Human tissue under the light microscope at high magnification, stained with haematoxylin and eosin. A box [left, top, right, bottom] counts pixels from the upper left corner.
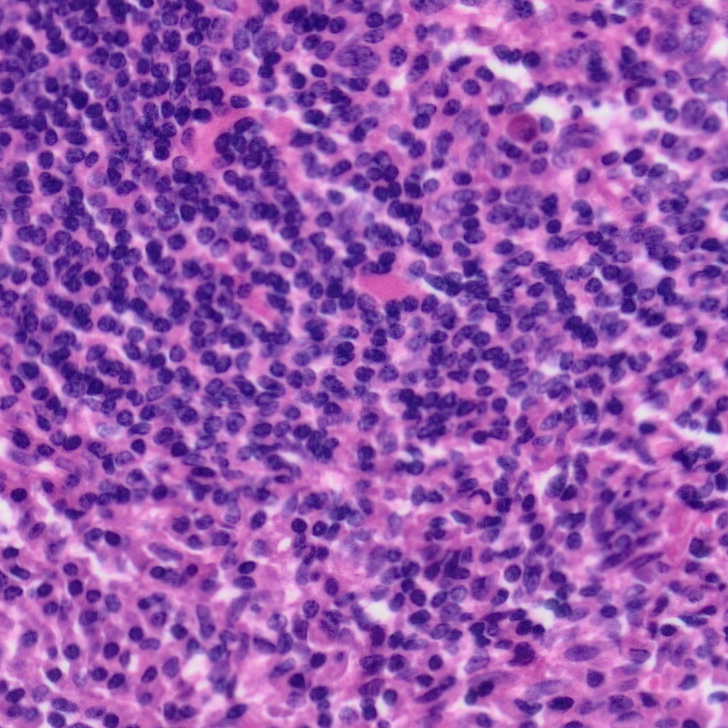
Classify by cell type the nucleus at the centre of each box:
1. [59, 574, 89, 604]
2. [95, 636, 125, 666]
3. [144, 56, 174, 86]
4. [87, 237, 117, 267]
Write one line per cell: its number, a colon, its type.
1: plasma cell
2: plasma cell
3: small lymphocyte
4: small lymphocyte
